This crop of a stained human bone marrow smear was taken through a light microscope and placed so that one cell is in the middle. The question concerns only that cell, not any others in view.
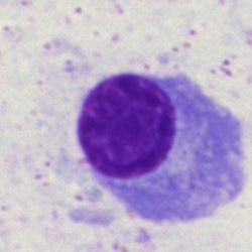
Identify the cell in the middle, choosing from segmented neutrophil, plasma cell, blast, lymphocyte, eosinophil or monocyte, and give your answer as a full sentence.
Present in the middle of the crop is a plasma cell.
